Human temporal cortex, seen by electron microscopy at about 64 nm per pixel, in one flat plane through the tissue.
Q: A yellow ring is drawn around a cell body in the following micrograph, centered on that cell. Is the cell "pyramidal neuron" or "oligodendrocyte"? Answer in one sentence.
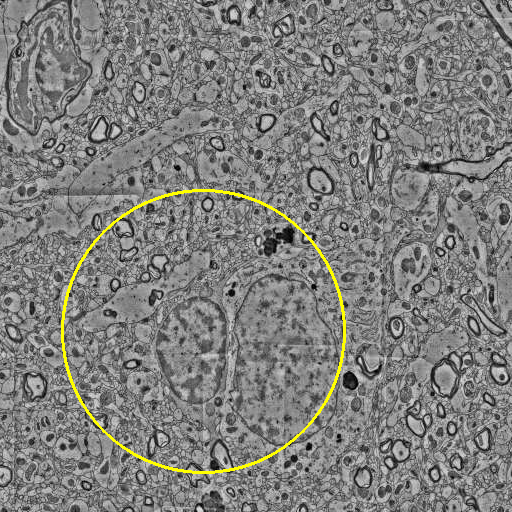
The cell in the center of the ring is an oligodendrocyte.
